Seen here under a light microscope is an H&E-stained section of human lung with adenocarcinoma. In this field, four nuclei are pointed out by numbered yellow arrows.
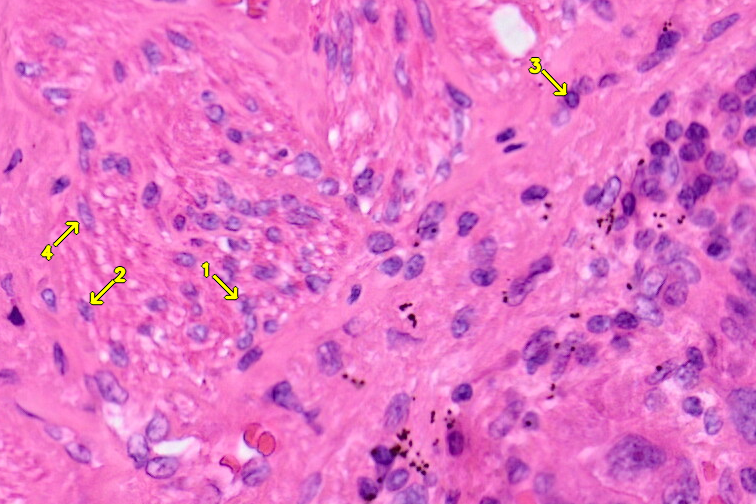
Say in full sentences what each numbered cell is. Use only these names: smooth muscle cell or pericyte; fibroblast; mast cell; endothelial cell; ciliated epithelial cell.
Cells 1, 2 and 4 are smooth muscle cells or pericytes. Cell 3 is a mast cell.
